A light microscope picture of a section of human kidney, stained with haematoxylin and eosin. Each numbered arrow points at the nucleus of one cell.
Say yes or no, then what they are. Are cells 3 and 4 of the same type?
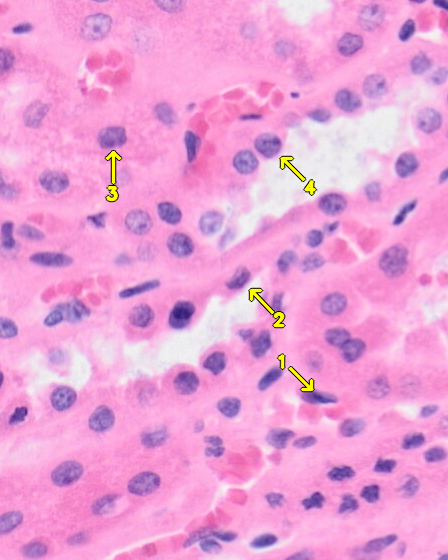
No, cell 3 is a proximal tubule cell and cell 4 is a loop of Henle or distal tubule cell.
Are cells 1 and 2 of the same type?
No, cell 1 is an endothelial cell and cell 2 is a loop of Henle or distal tubule cell.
